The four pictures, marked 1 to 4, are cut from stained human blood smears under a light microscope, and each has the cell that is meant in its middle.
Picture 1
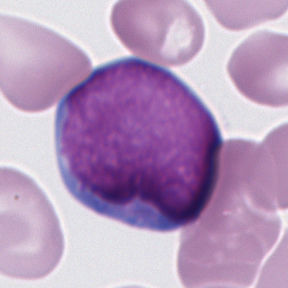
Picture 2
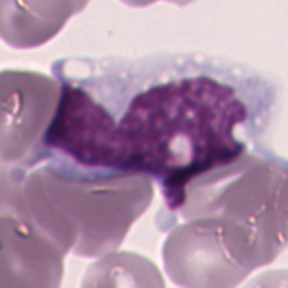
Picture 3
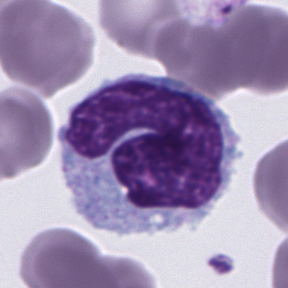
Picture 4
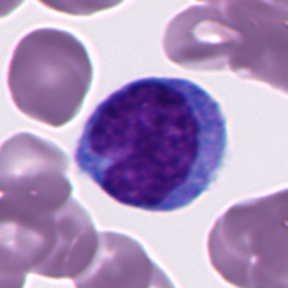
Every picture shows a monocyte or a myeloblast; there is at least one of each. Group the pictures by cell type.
1: myeloblast
2: monocyte
3: monocyte
4: monocyte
